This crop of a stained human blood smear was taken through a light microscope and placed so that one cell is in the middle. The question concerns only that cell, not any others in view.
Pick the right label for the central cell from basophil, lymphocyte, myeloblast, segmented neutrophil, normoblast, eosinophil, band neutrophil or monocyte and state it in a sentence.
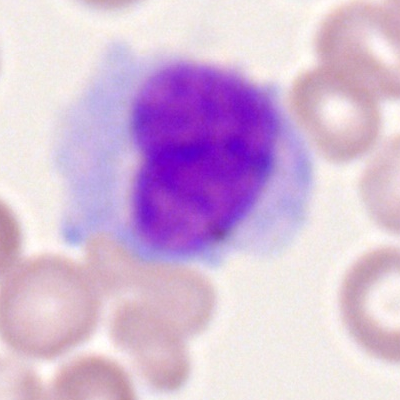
What the crop centres on is a monocyte.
